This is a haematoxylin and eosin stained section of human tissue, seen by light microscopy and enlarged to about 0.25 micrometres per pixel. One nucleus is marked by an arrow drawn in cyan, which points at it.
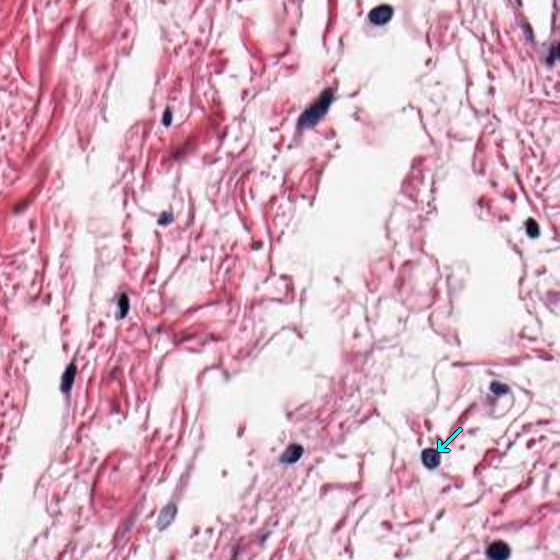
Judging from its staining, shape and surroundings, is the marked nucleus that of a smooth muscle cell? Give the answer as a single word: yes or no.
no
